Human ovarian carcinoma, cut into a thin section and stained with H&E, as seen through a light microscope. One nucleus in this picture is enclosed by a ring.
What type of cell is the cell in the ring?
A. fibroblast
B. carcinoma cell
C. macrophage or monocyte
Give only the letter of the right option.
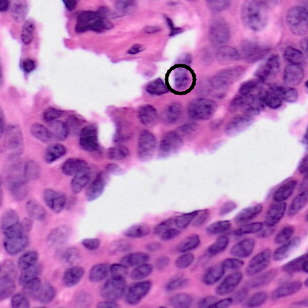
C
